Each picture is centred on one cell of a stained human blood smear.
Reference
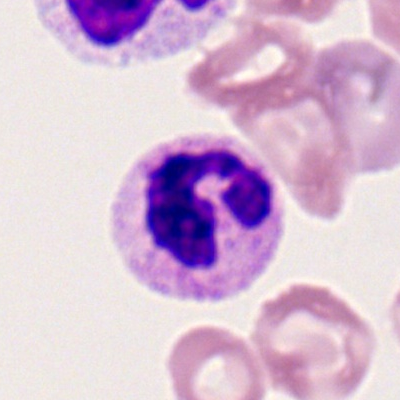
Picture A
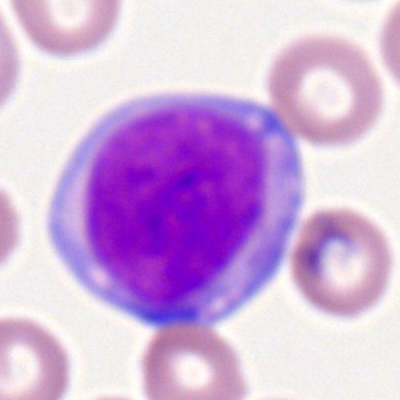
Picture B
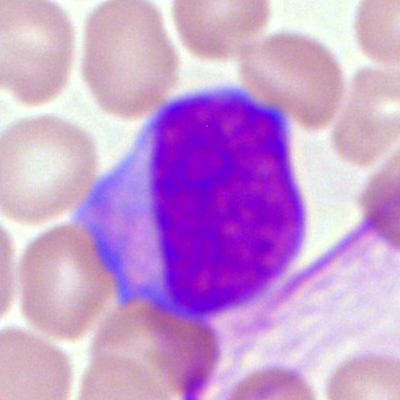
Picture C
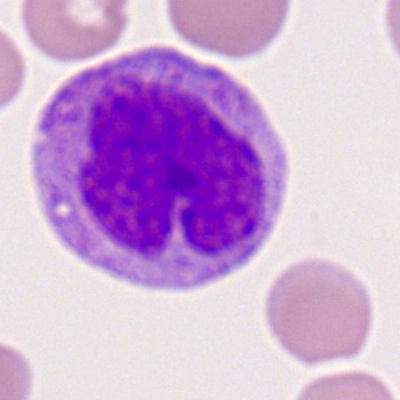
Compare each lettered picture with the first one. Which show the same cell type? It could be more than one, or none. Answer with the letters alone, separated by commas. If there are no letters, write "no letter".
no letter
